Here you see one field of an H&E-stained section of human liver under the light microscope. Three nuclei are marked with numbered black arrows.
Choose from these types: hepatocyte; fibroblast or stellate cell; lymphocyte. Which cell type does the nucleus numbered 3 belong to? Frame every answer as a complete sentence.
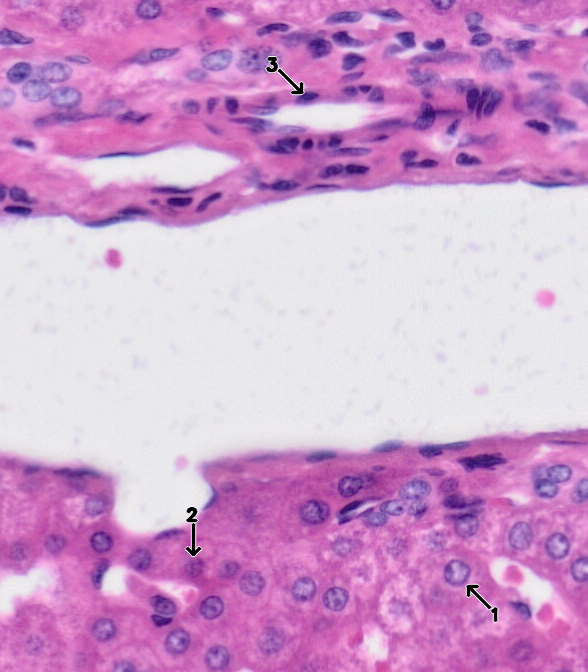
Looking at the numbered marks, cell 3 is a fibroblast or stellate cell.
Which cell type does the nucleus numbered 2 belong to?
The cell referred to as 2 is a hepatocyte.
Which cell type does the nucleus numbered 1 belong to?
Regarding cell 1, this one is a hepatocyte.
